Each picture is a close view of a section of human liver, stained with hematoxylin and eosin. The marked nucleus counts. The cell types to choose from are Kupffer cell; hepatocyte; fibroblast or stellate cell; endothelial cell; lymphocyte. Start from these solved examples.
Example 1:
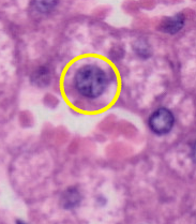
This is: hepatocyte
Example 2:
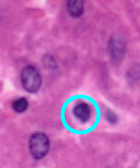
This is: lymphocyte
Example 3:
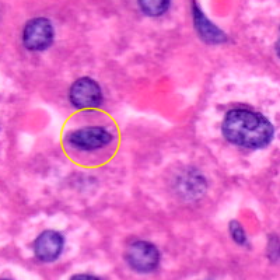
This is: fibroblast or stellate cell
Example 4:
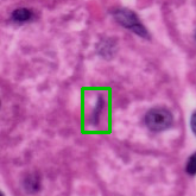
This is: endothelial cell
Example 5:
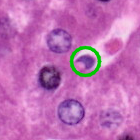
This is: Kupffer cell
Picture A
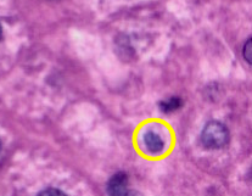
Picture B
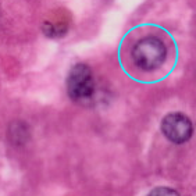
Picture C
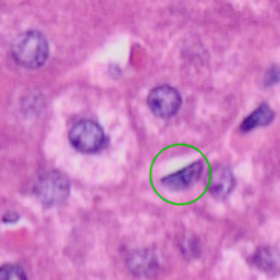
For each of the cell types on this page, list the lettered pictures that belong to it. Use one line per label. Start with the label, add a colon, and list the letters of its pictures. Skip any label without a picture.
hepatocyte: B
endothelial cell: C
lymphocyte: A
